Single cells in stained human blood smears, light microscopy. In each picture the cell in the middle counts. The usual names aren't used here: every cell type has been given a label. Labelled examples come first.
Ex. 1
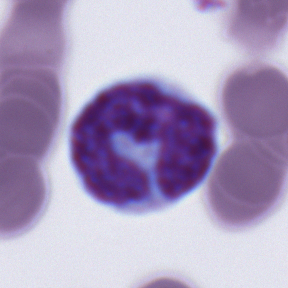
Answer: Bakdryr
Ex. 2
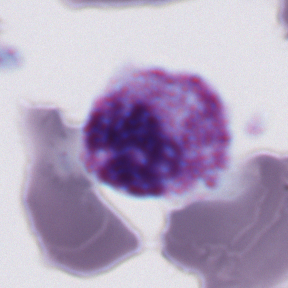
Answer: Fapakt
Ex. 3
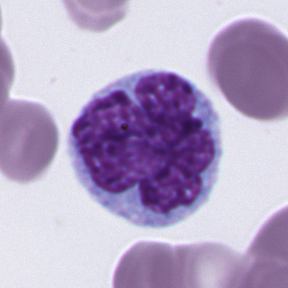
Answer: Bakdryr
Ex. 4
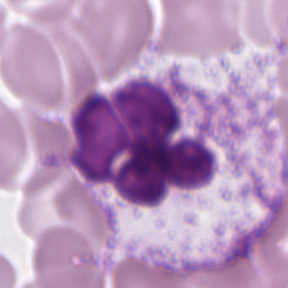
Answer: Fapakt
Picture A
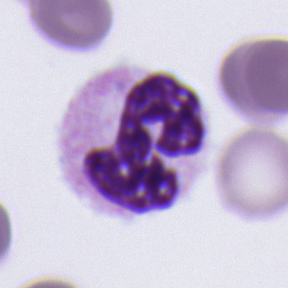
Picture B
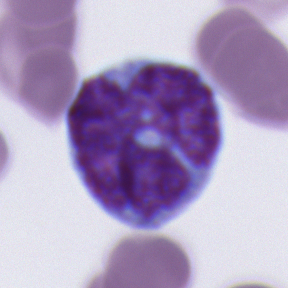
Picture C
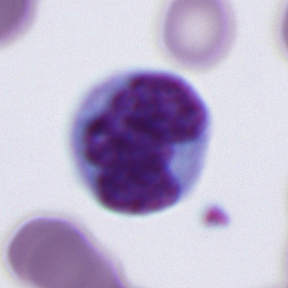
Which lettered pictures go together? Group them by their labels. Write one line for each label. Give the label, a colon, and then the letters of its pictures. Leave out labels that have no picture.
Bakdryr: B, C
Fapakt: A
